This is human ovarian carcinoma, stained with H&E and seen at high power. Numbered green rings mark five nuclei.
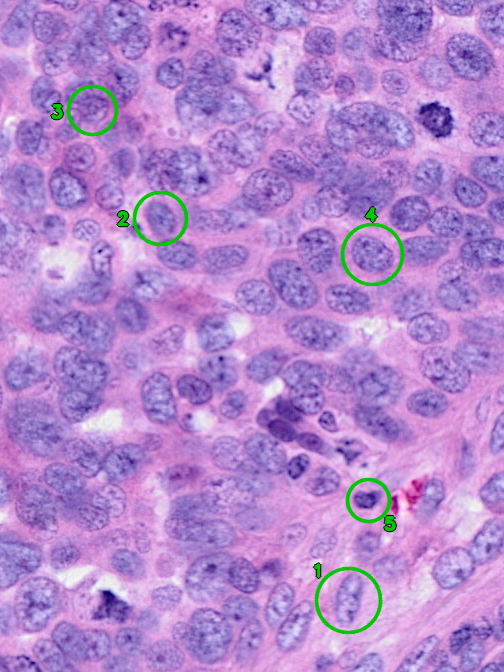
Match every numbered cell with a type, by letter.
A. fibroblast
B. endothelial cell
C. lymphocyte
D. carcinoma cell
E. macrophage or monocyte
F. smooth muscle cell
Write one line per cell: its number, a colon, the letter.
1: A
2: D
3: D
4: D
5: C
